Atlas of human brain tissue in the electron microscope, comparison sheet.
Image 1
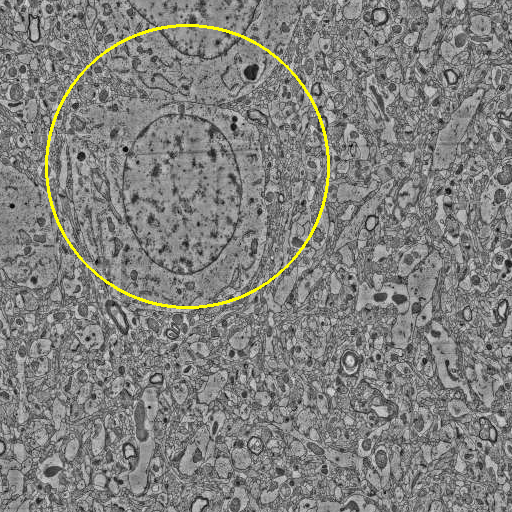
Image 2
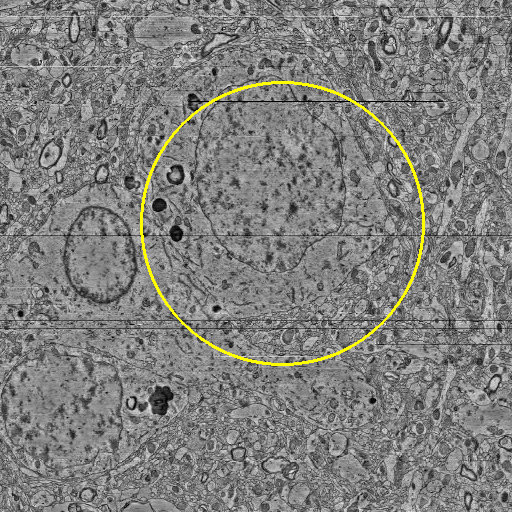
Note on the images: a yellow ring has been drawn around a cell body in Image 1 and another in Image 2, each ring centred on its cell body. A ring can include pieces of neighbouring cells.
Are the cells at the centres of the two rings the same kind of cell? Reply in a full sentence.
Yes, both cells are of the same kind.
